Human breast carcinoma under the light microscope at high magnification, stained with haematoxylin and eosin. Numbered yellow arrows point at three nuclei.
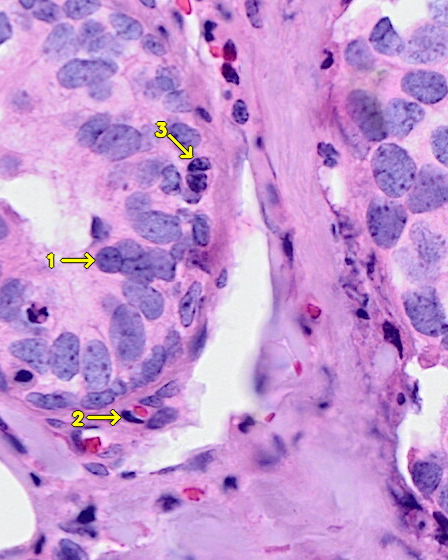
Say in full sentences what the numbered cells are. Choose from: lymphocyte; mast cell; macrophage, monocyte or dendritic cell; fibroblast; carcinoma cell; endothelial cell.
Cell 1 is a carcinoma cell, cell 2 is an endothelial cell and cell 3 is a lymphocyte.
